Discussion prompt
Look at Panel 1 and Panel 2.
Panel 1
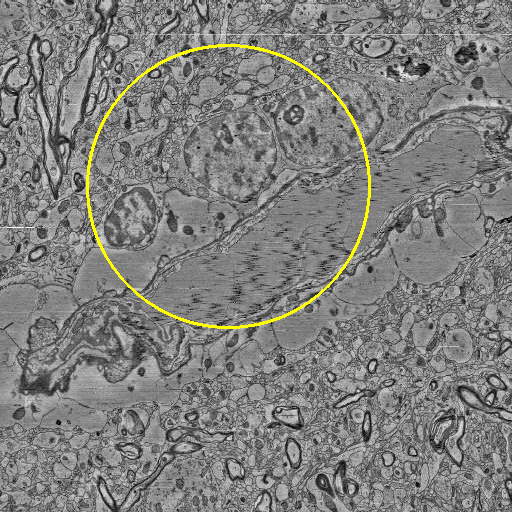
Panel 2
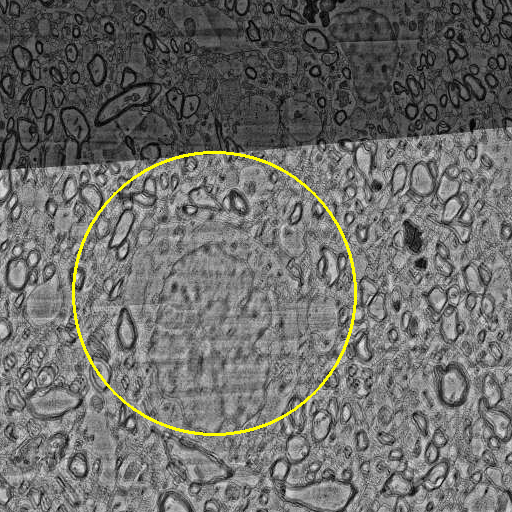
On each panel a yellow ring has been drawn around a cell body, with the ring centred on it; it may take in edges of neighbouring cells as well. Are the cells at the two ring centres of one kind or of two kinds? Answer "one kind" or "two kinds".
two kinds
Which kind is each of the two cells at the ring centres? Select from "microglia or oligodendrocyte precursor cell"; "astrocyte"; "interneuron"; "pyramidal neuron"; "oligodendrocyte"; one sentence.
The cell at the centre of the ring is an oligodendrocyte in the first picture and an interneuron in the second.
